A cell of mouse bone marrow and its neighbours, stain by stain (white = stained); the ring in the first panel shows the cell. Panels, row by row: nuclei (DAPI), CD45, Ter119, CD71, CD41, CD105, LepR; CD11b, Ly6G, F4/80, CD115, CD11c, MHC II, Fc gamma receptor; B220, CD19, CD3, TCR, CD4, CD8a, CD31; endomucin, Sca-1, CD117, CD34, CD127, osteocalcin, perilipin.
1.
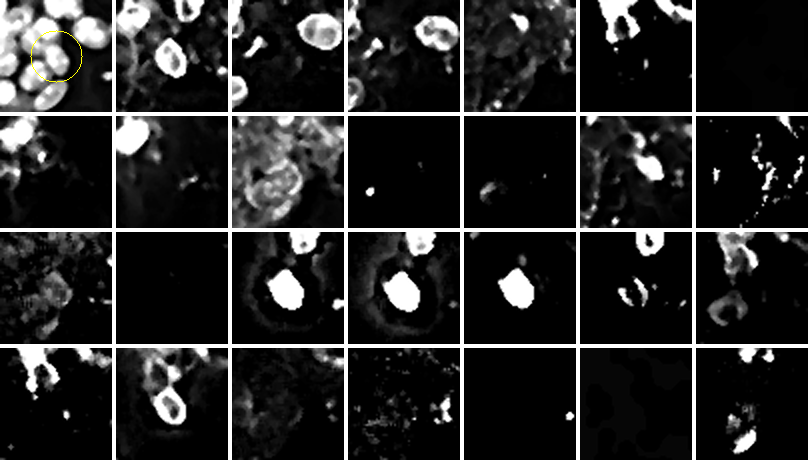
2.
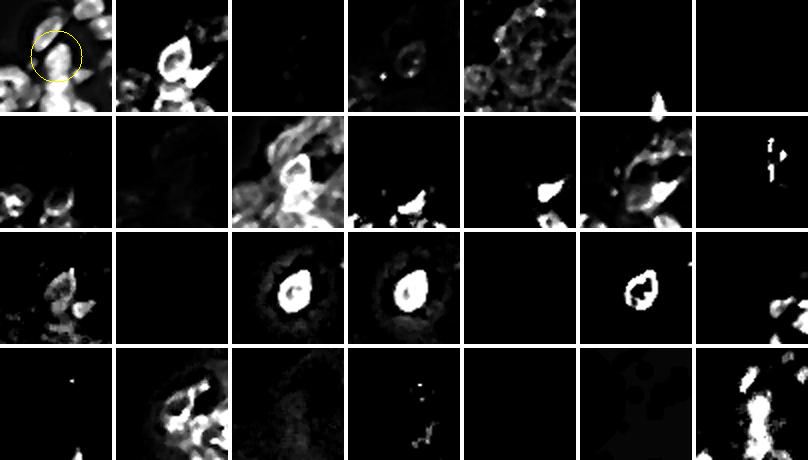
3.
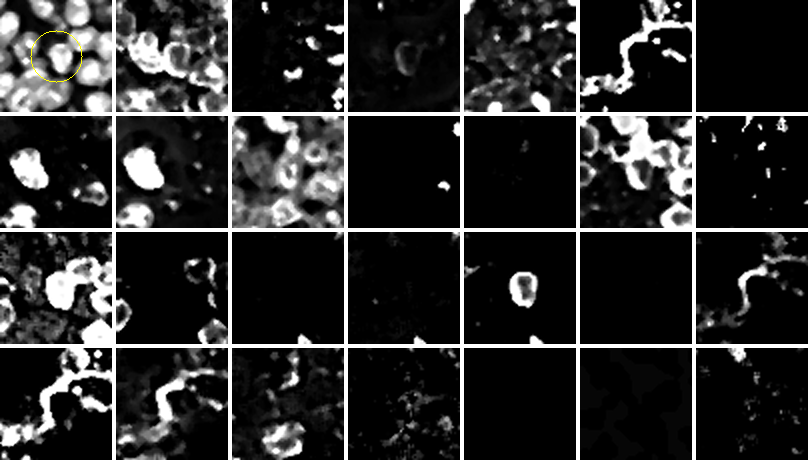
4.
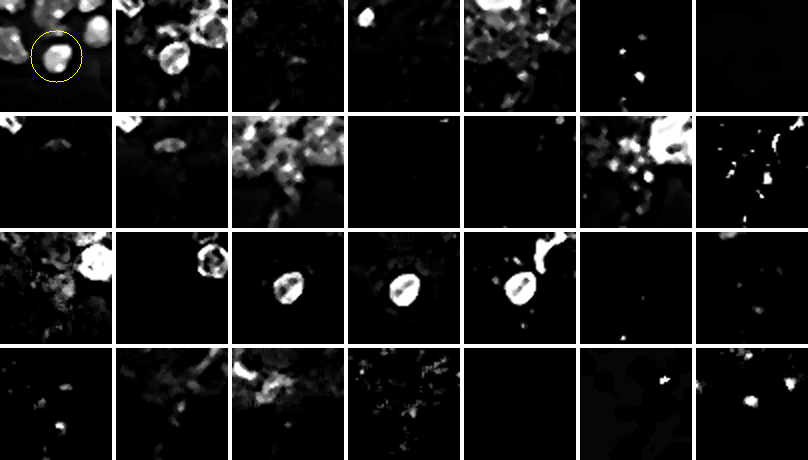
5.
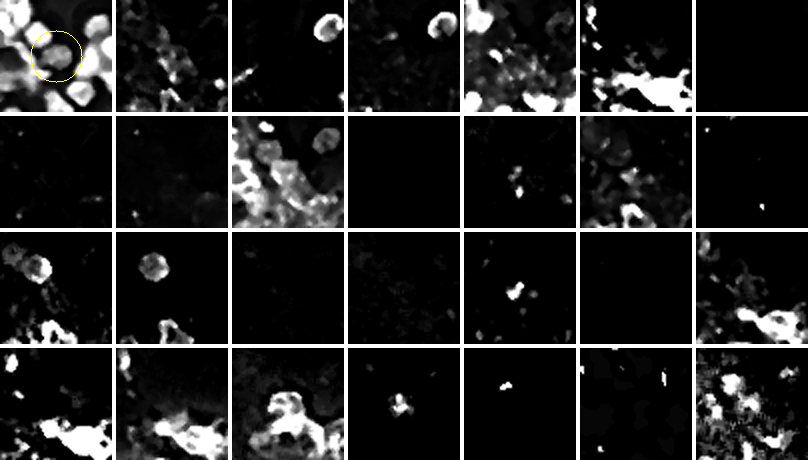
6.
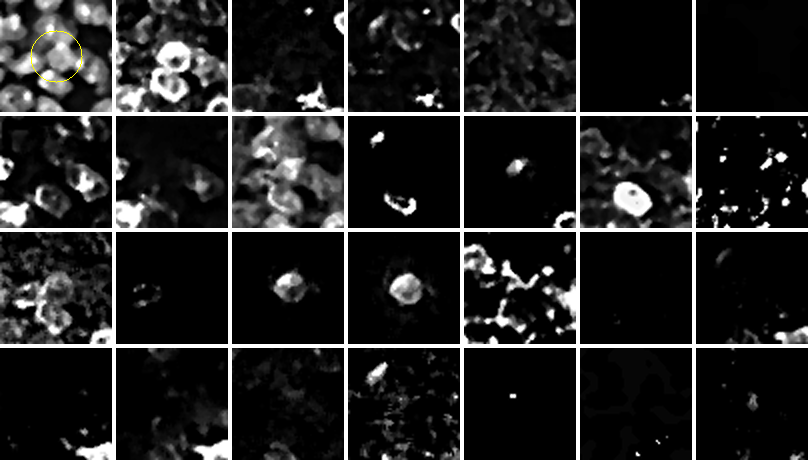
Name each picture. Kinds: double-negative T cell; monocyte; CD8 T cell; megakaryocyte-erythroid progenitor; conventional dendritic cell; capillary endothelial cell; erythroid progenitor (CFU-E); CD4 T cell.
1: CD4 T cell
2: CD8 T cell
3: capillary endothelial cell
4: CD4 T cell
5: megakaryocyte-erythroid progenitor
6: double-negative T cell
